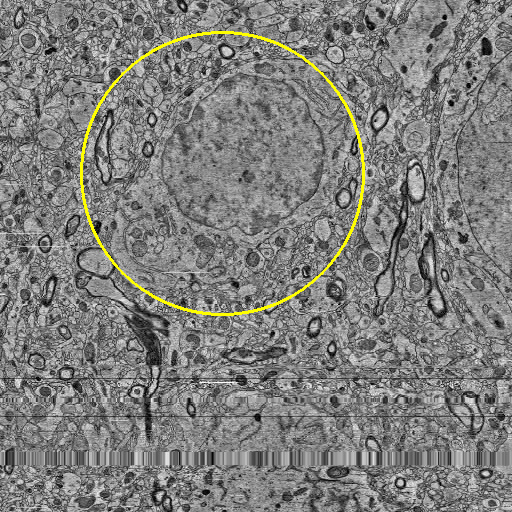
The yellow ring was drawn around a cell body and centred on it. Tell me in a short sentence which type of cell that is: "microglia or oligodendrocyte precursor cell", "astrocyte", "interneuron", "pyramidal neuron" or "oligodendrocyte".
The cell at the ring's centre is an interneuron.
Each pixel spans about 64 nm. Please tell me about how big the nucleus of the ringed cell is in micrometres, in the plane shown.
The nucleus comes to roughly 10 micrometres across in this plane.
